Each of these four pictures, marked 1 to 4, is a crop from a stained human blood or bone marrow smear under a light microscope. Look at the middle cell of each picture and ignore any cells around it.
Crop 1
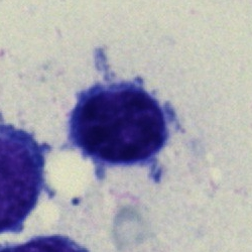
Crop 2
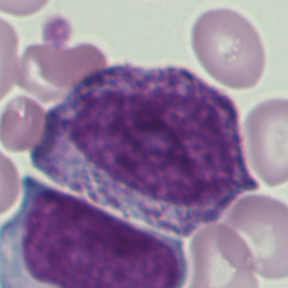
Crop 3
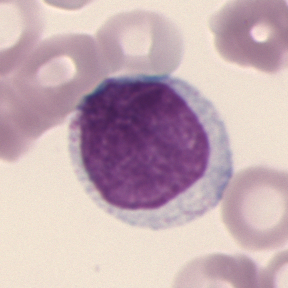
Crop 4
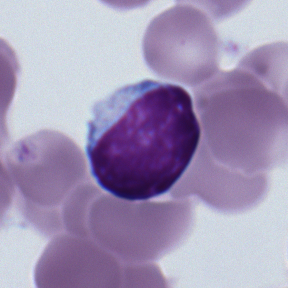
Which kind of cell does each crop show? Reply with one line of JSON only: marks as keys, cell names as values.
{"1": "lymphocyte", "2": "myelocyte", "3": "lymphocyte", "4": "lymphocyte"}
